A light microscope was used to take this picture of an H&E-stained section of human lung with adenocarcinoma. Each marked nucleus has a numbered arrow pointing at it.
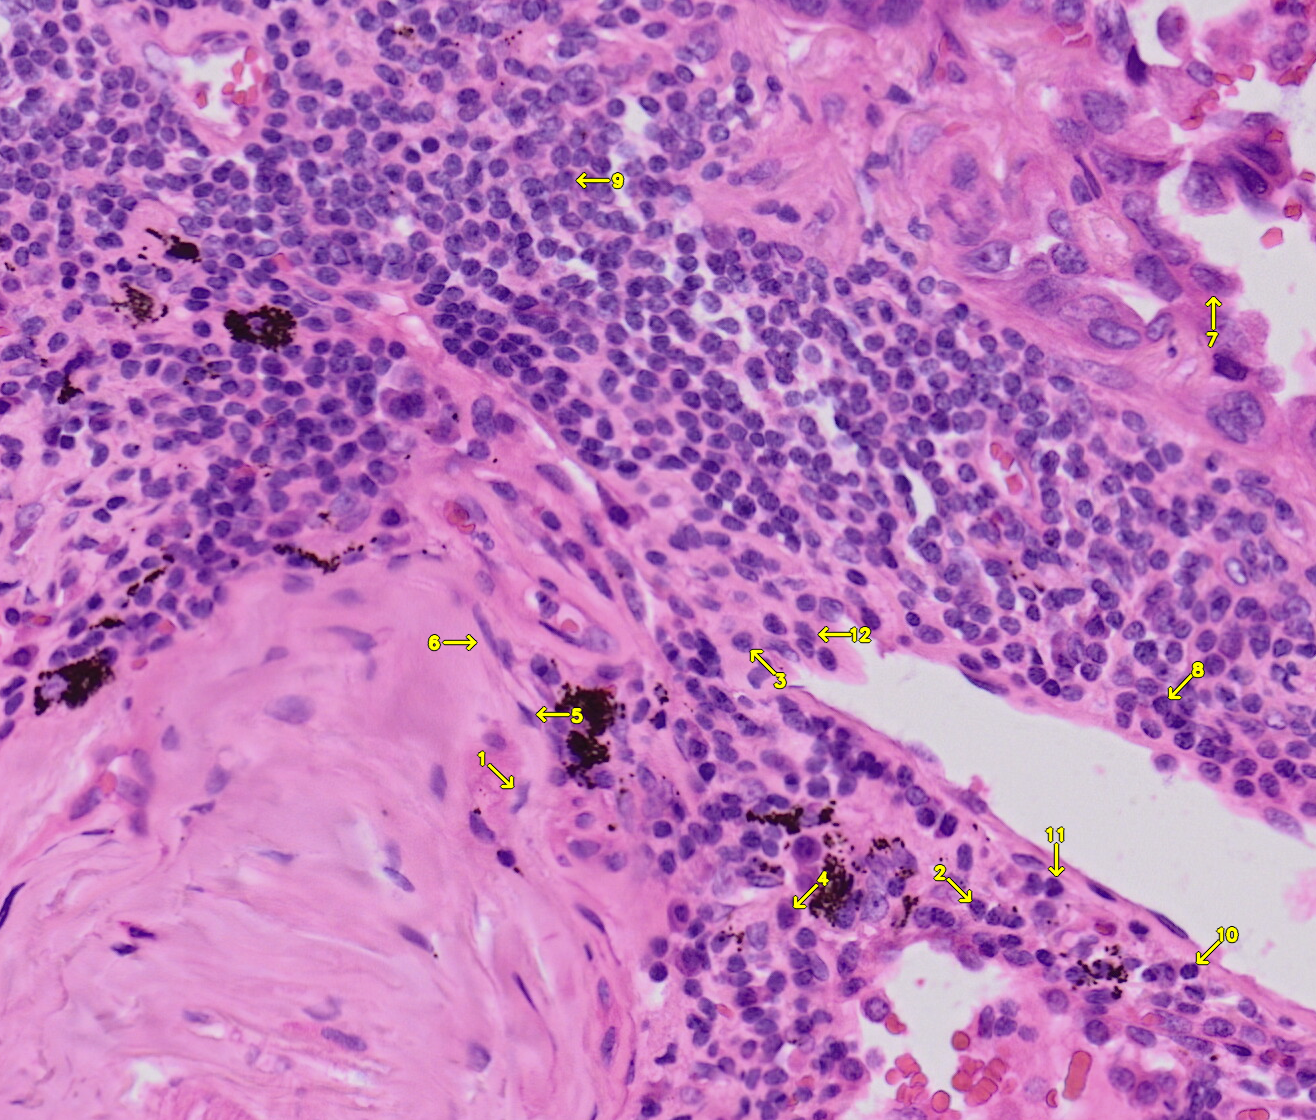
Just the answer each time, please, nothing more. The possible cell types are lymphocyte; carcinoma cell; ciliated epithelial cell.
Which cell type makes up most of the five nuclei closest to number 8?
lymphocyte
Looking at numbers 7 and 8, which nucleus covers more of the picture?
7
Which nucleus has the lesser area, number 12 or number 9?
9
